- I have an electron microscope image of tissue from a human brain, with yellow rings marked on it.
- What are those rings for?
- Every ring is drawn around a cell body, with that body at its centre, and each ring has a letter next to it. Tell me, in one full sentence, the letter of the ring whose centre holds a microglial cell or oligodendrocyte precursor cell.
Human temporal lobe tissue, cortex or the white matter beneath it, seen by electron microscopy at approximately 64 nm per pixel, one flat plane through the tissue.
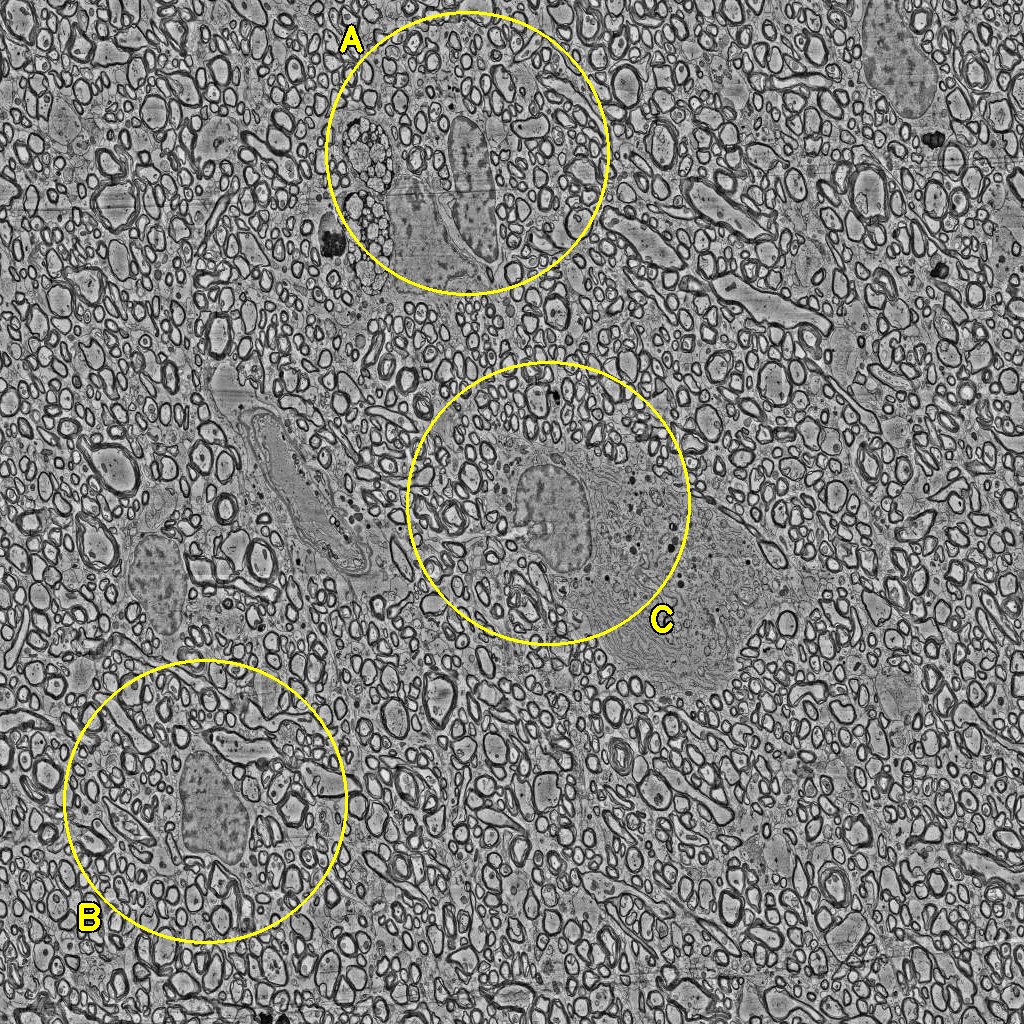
In the picture, the cell asked for sits at the centre of ring A.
